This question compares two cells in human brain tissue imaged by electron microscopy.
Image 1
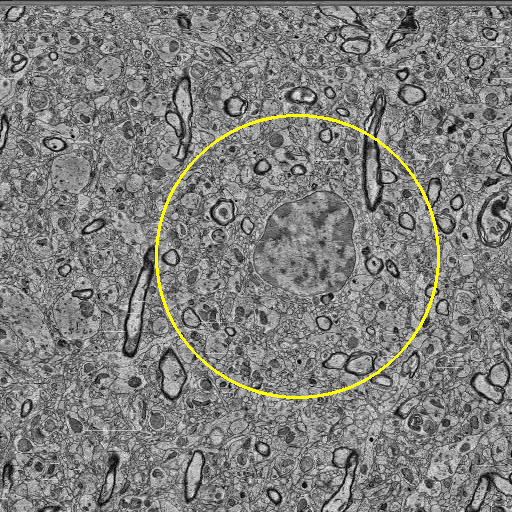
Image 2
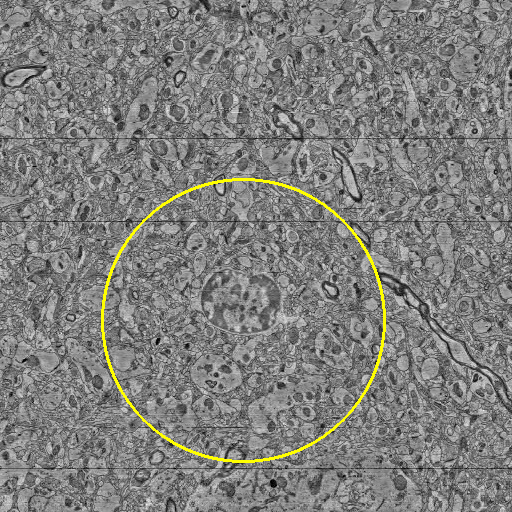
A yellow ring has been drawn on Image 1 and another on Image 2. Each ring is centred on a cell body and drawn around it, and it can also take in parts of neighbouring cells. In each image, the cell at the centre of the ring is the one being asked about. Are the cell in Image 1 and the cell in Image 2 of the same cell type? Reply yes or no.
yes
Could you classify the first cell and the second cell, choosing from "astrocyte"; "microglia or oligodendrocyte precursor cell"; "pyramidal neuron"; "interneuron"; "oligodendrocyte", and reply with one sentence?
Both pictures show a microglial cell or oligodendrocyte precursor cell at the centre of the ring.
